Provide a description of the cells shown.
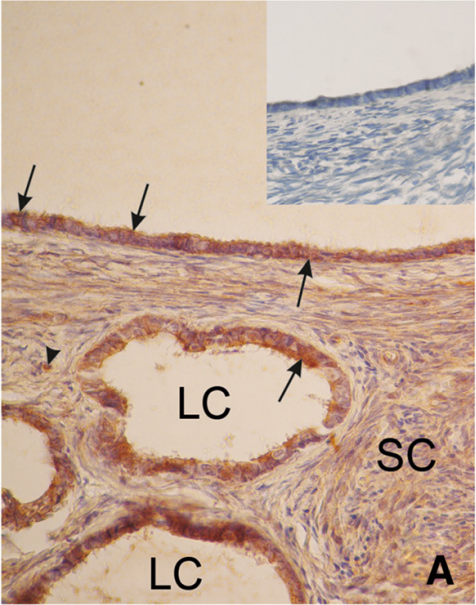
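Ovarian cortex with a single-layered surface epithelium along the top and several epithelium-lined cysts below, set in spindle-cell stroma. The surface and cyst lining cells are cuboidal to columnar with intense brown cytoplasm, while the stromal cells are elongated with blue nuclei and paler brown staining. The inset shows the surface lining and stroma with blue nuclei only and no brown colour.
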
